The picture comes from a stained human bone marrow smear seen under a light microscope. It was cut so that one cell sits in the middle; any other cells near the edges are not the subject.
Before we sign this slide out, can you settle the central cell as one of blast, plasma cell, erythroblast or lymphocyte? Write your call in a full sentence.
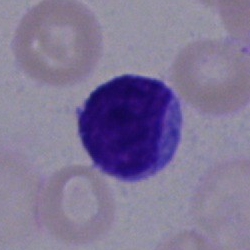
The cell that lies at the centre of the crop is a lymphocyte.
